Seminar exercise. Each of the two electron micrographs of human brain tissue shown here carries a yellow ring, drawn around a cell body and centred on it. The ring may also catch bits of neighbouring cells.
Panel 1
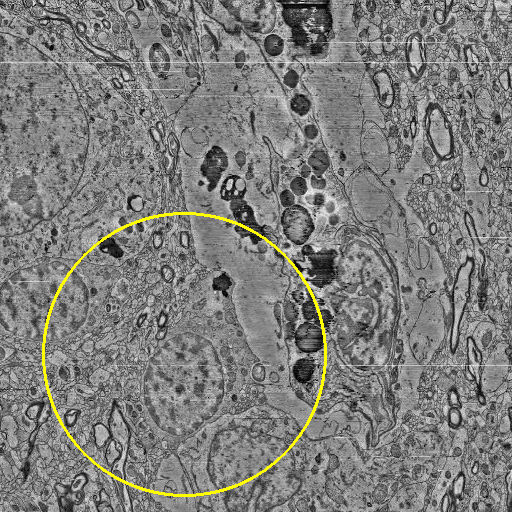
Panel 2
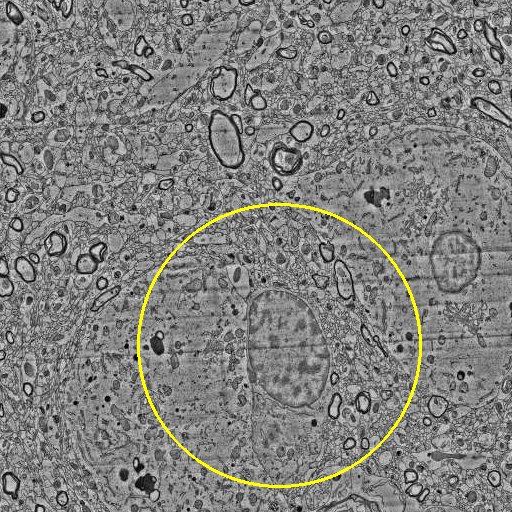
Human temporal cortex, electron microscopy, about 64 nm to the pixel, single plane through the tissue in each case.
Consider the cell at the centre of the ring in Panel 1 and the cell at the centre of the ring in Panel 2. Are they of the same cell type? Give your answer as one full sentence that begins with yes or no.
Yes, both cells are of the same type.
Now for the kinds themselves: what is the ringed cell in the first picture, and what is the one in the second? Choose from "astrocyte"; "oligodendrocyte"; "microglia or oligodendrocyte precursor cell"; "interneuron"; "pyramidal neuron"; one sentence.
The cell at the ring centre is an oligodendrocyte in both pictures.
